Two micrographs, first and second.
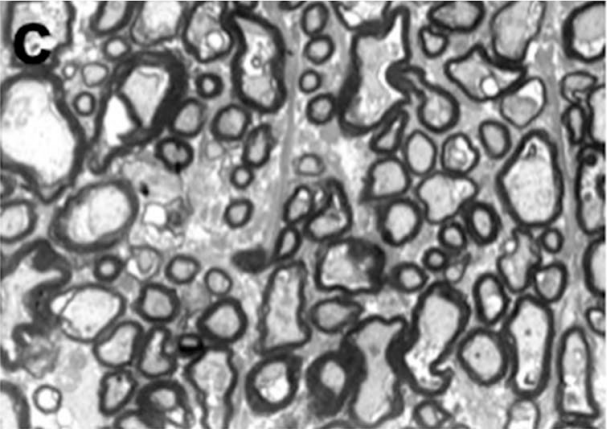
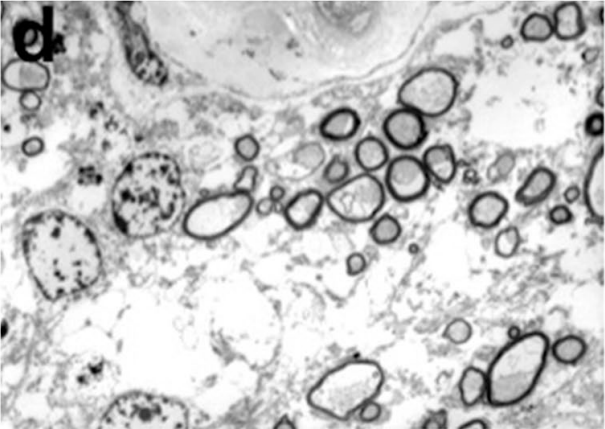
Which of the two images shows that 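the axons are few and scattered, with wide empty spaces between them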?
the second image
